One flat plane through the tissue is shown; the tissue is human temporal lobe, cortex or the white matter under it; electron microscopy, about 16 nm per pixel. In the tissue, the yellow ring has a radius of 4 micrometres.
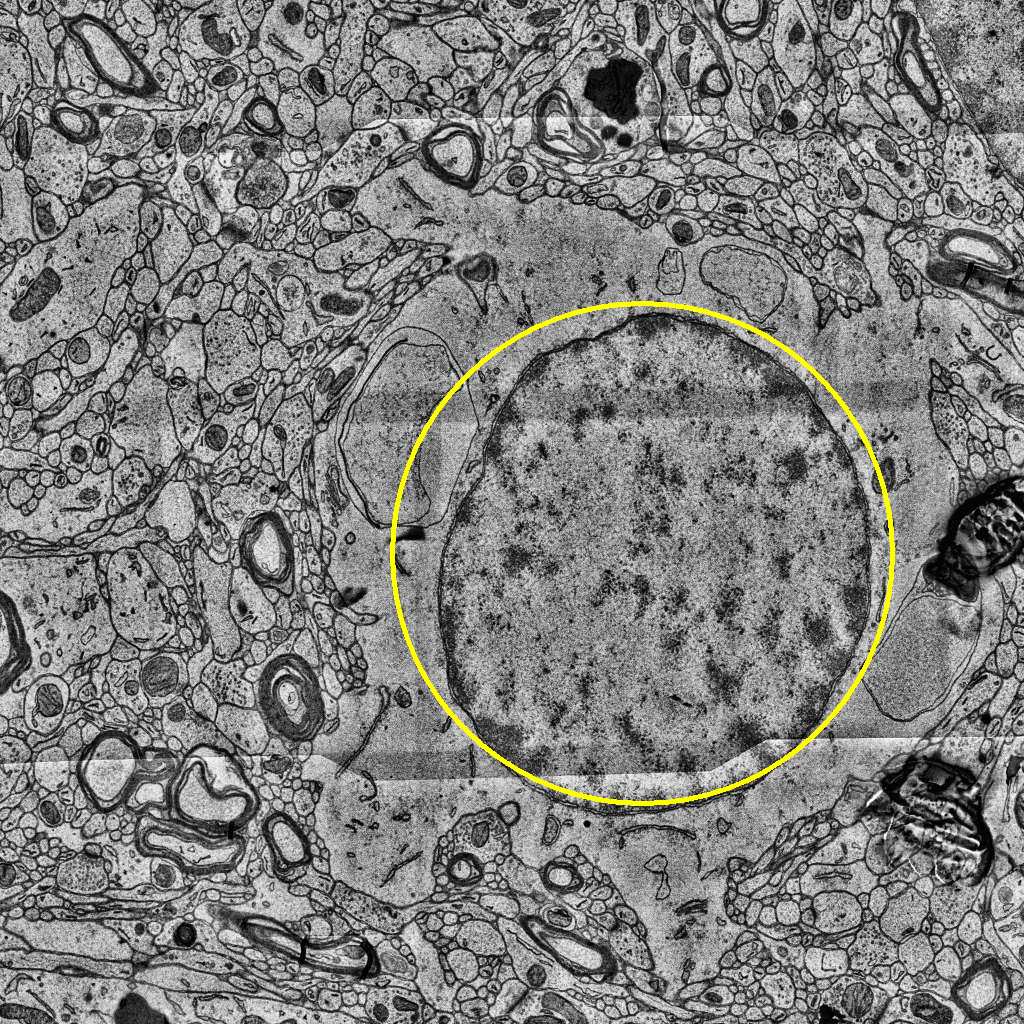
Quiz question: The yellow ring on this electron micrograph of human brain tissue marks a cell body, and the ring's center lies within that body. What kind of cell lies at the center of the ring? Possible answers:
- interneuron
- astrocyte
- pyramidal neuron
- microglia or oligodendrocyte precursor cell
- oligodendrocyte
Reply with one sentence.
The ring's center lies on an astrocyte.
